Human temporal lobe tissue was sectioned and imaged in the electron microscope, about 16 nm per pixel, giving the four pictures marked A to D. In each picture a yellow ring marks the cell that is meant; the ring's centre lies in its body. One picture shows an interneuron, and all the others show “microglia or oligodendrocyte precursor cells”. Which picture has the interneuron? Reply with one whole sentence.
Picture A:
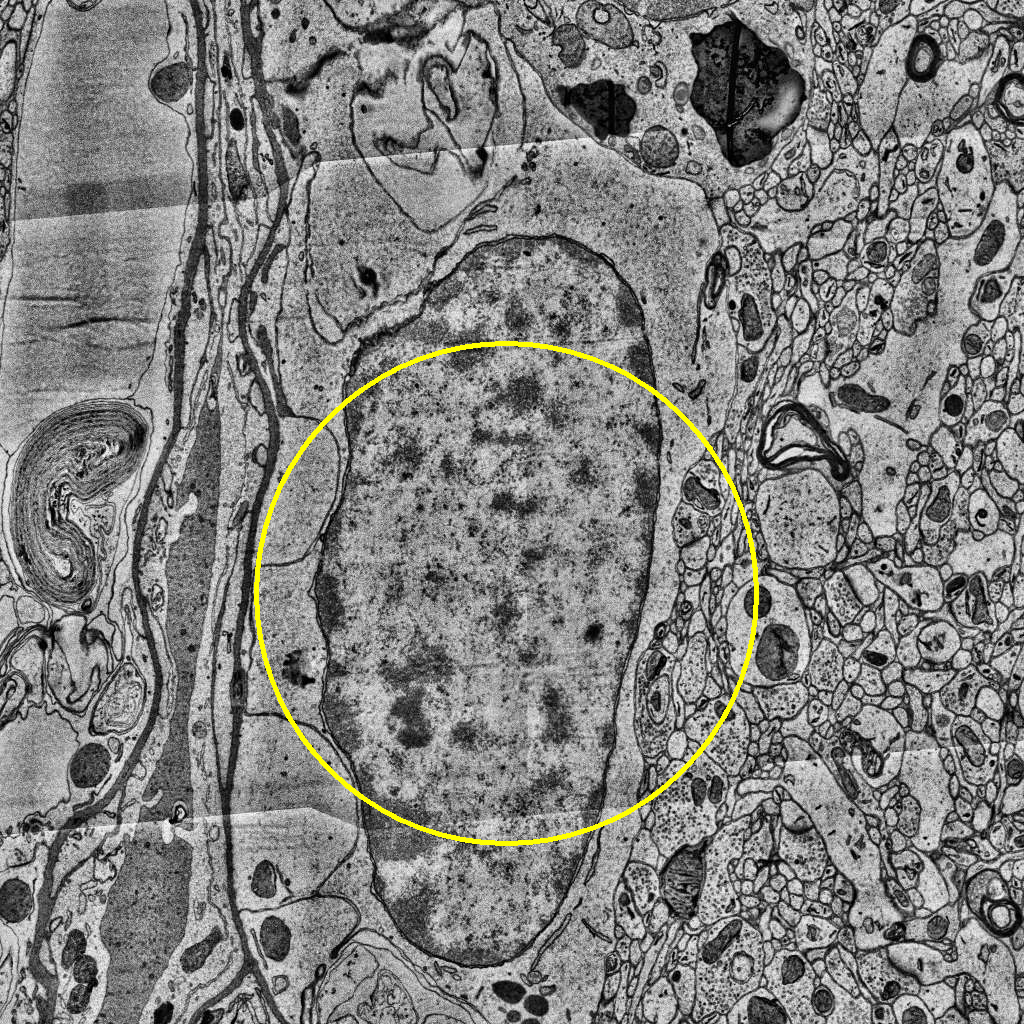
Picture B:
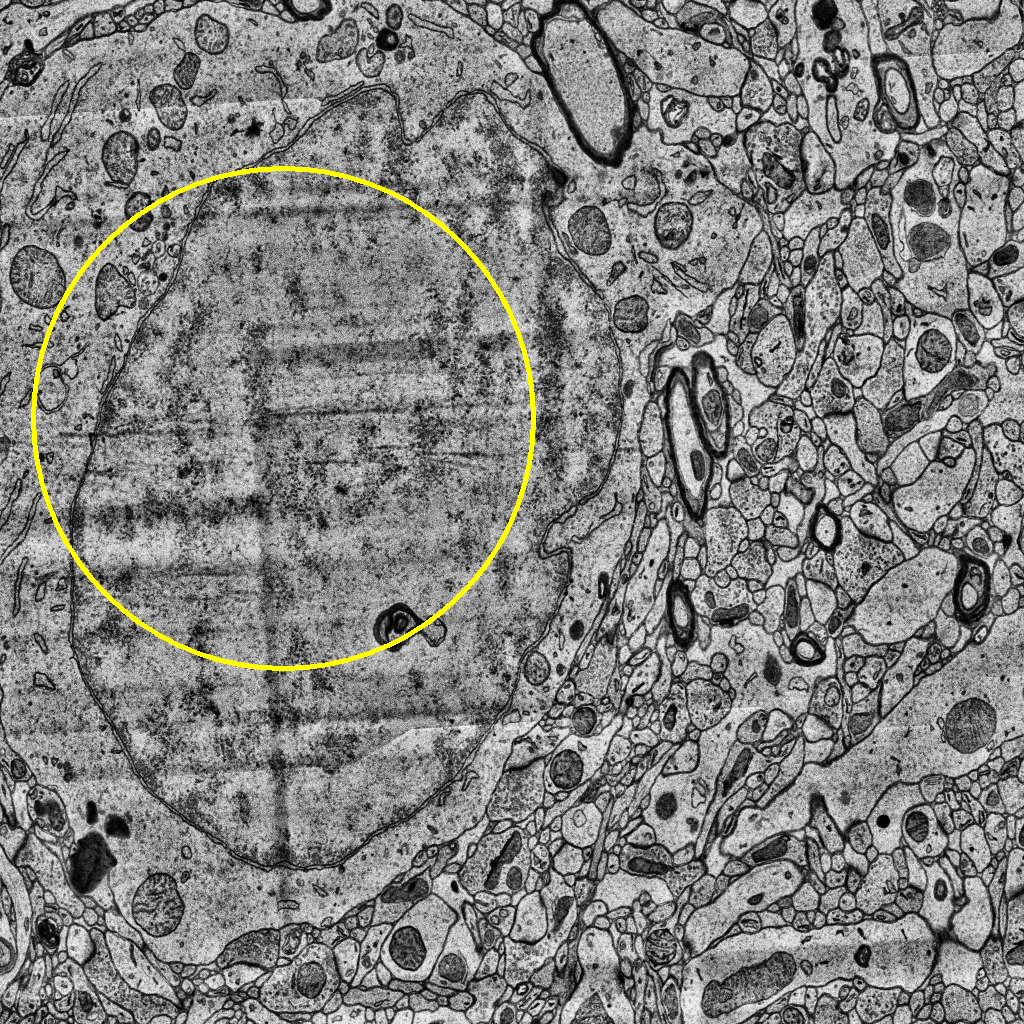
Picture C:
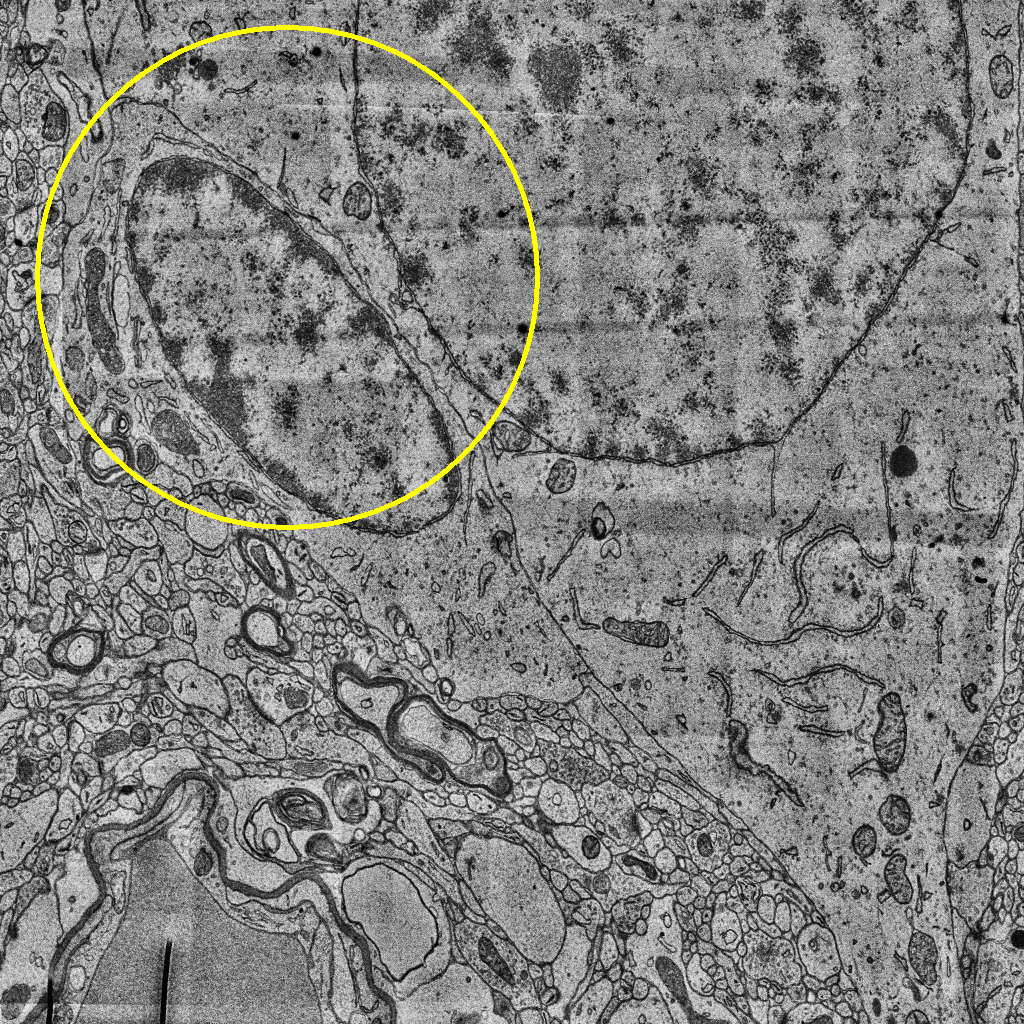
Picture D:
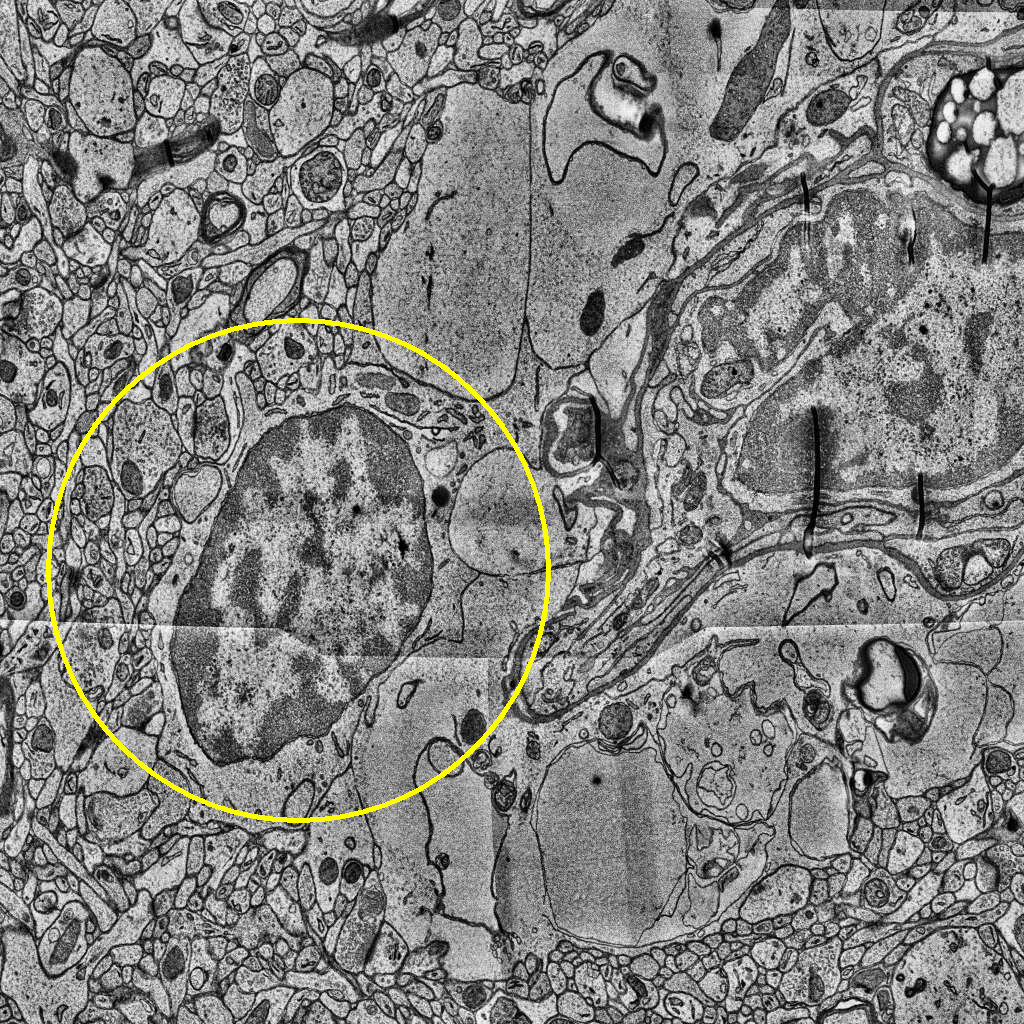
It is picture B that shows the interneuron.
